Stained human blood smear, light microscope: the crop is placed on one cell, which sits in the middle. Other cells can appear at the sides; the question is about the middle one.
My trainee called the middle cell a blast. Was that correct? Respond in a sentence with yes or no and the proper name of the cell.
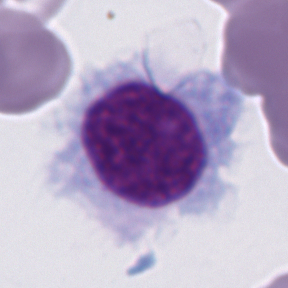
No, the centrally placed cell is a hairy cell, not a blast.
